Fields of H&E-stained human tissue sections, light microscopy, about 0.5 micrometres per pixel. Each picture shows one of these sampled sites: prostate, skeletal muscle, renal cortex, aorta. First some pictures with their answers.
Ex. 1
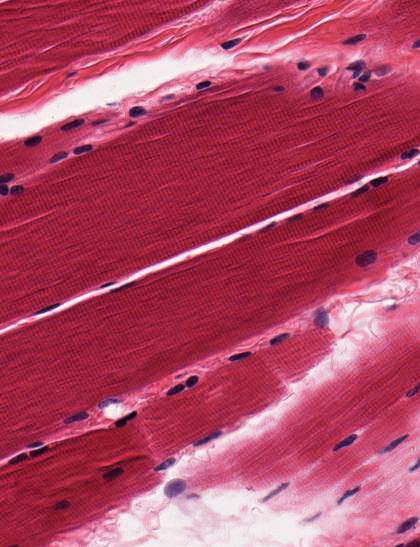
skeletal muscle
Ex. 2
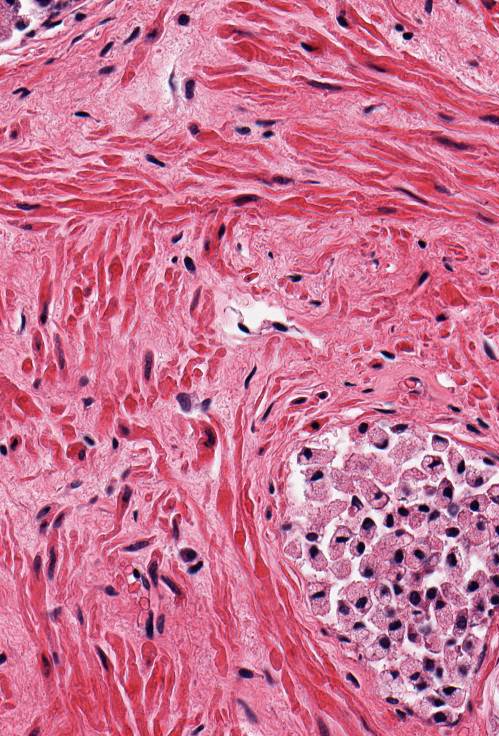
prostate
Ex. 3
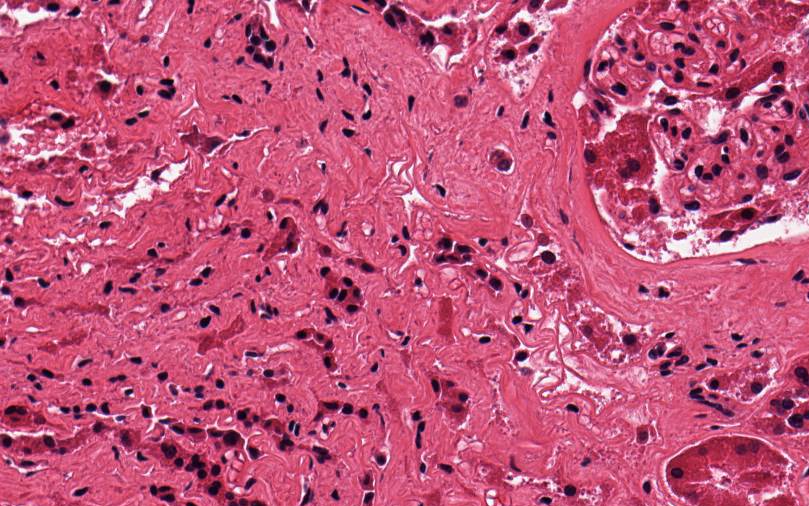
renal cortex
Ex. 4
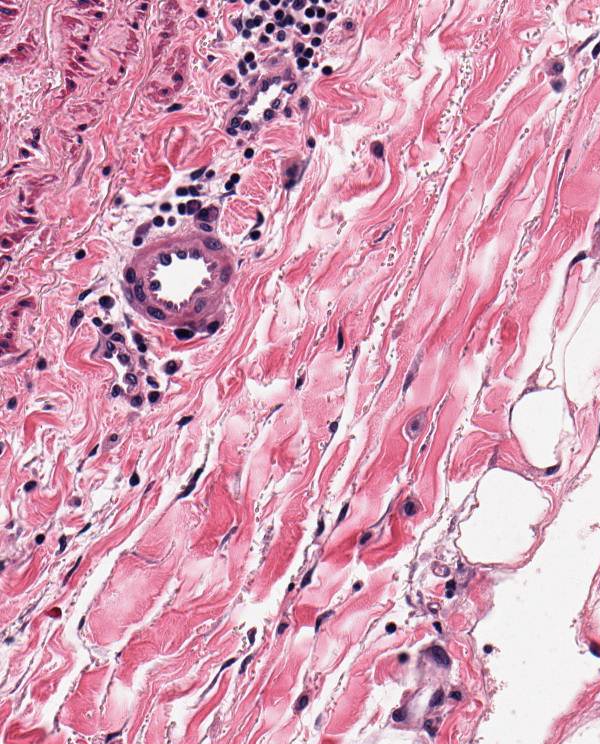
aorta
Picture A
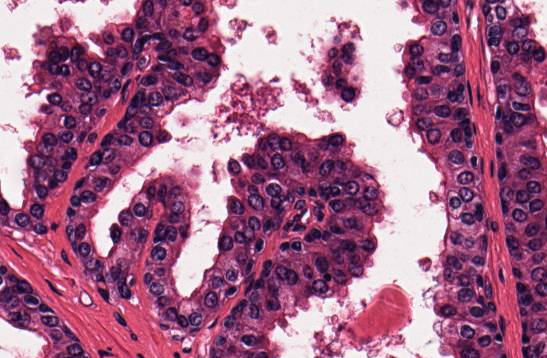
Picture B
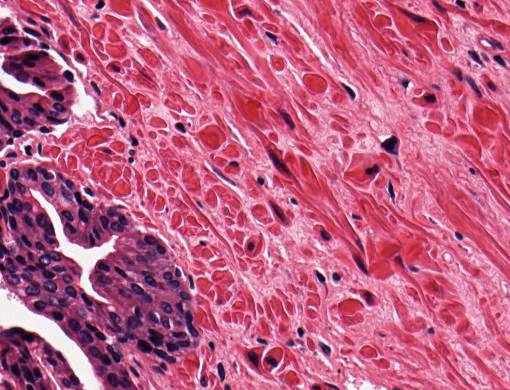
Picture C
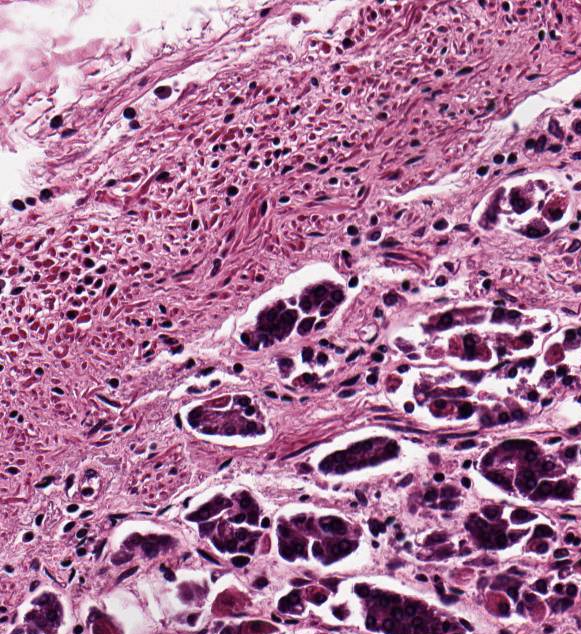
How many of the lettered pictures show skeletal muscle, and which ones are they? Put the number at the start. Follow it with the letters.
1, namely C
